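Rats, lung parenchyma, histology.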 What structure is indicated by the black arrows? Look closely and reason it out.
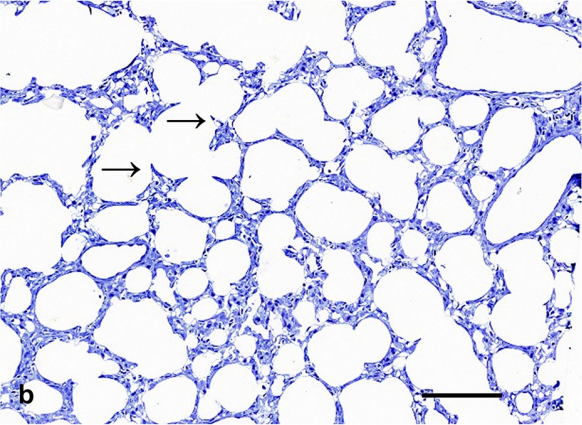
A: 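The arrows point to short tissue ridges jutting from the wall into a large air space. The walls around the air spaces are thick and cell-rich.
Answer: Protrusions of secondary septa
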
